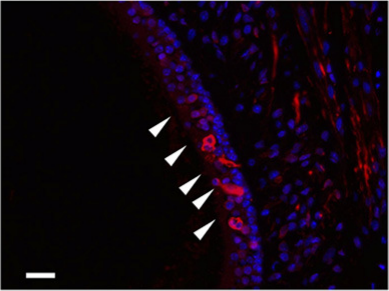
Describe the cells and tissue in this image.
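The epithelium is packed with blue oval nuclei in a few tiers. Scattered among them are rounded, plump cell bodies filled with bright red, lying toward the lumen side. To the right, the underlying tissue holds scattered nuclei and elongated red-stained strands running obliquely. The lumen to the left is dark and free of cells.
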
